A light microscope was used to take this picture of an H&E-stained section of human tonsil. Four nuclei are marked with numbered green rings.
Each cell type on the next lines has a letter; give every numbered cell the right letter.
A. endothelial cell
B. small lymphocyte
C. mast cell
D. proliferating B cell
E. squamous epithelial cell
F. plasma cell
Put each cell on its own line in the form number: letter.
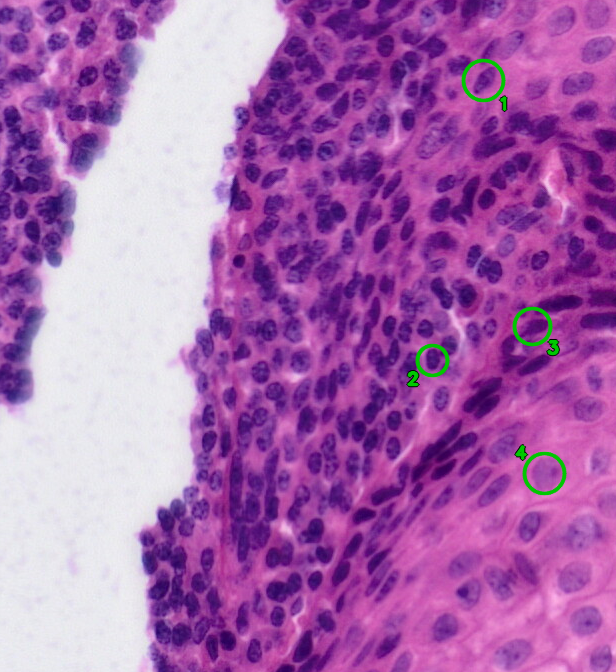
1: E
2: F
3: E
4: E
